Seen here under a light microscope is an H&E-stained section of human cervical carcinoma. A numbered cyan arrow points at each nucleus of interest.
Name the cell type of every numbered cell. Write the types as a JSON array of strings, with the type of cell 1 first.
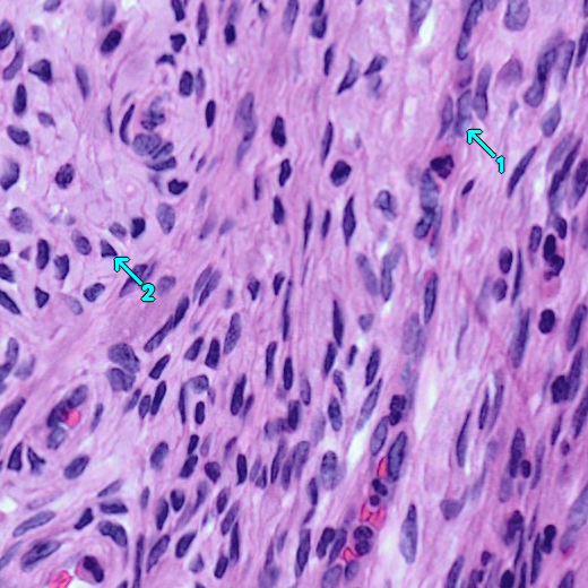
["endothelial cell", "fibroblast"]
